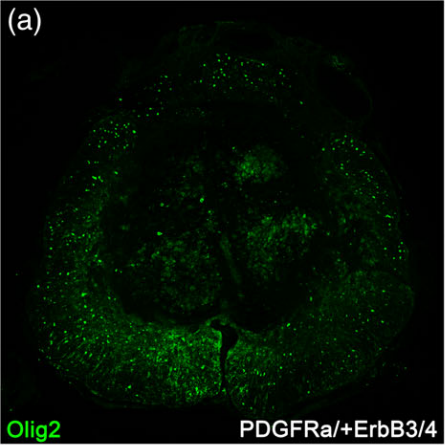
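The central part of the section is dimmer and irregular, with patchy faint green texture and fewer distinct nuclei. A deep midline cleft is visible at the lower edge of the section.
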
